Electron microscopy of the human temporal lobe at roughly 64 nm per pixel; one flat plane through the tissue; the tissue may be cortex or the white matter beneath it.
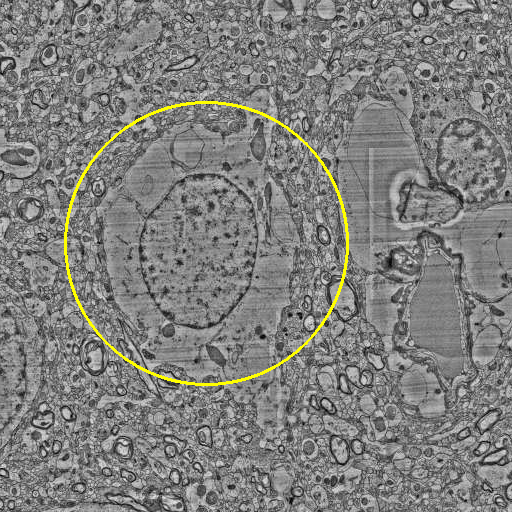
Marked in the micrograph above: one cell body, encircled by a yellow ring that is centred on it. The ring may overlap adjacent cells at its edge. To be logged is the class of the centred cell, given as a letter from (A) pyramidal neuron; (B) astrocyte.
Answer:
B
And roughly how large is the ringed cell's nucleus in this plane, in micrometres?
Approximately 10 x 7 micrometres in this plane.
